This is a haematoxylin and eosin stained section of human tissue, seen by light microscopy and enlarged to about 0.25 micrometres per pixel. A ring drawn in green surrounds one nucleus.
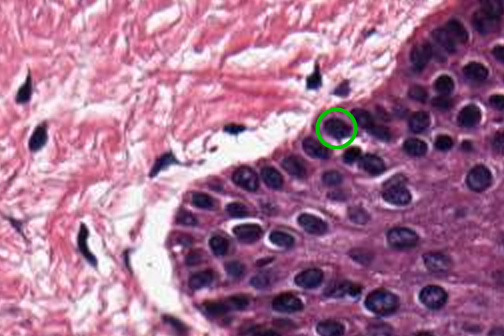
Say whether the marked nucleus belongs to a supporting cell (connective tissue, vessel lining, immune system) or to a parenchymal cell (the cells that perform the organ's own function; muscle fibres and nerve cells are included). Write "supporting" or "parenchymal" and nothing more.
parenchymal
